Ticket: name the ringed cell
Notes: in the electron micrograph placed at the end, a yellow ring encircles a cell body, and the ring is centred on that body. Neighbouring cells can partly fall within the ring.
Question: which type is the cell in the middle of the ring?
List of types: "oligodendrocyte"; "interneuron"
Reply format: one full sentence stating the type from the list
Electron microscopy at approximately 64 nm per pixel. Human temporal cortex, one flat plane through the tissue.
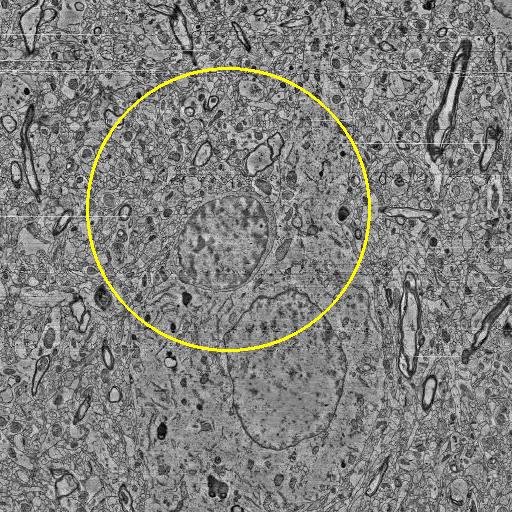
The cell sitting at the centre of the yellow ring is an oligodendrocyte.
